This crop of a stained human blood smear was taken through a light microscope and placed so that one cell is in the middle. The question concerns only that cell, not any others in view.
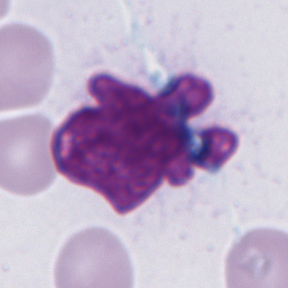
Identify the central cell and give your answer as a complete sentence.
The cell at the centre of the field is a smudge cell.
